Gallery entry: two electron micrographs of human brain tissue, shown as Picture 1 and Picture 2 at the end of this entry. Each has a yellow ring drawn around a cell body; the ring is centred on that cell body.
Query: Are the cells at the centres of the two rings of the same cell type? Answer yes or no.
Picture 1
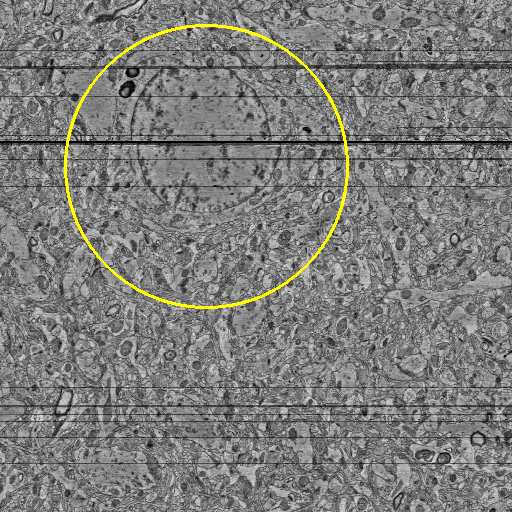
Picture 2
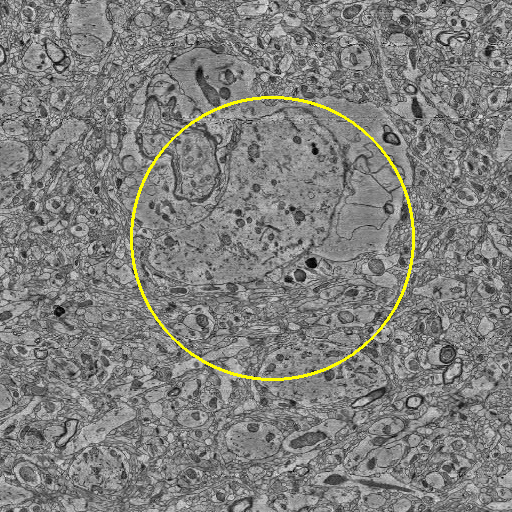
no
